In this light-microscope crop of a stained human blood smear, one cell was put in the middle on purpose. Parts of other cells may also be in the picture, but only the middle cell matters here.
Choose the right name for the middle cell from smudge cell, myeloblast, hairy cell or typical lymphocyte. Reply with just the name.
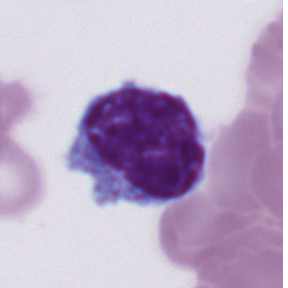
typical lymphocyte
